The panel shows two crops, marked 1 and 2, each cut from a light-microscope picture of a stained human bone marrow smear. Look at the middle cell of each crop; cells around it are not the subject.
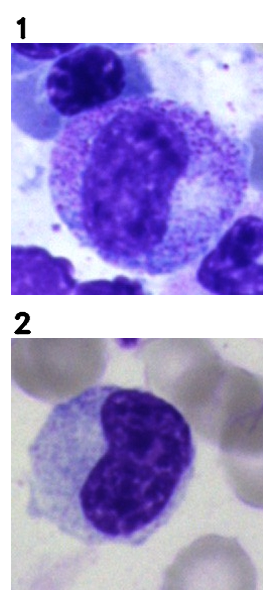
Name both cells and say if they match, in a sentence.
Yes, both crops do show metamyelocytes in the middle.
